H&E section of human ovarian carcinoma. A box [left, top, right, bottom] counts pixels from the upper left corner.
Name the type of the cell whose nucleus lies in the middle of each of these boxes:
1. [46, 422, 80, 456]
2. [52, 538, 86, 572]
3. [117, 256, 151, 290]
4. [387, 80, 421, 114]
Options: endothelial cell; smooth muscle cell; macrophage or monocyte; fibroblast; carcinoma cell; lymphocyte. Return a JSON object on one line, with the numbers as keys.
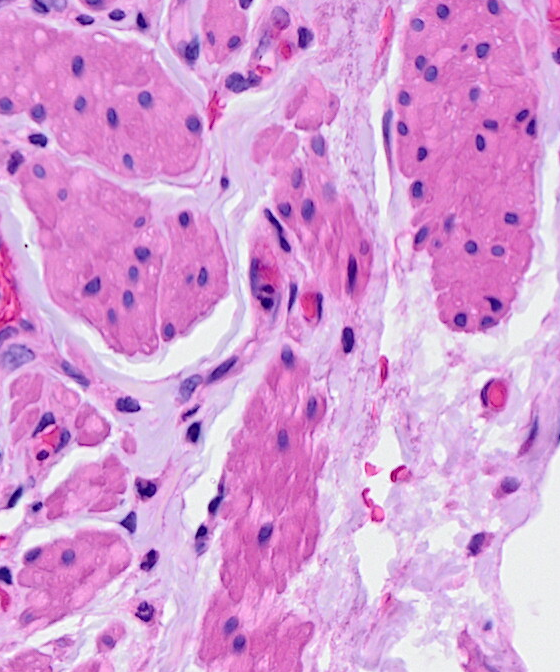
{"1": "endothelial cell", "2": "smooth muscle cell", "3": "smooth muscle cell", "4": "smooth muscle cell"}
